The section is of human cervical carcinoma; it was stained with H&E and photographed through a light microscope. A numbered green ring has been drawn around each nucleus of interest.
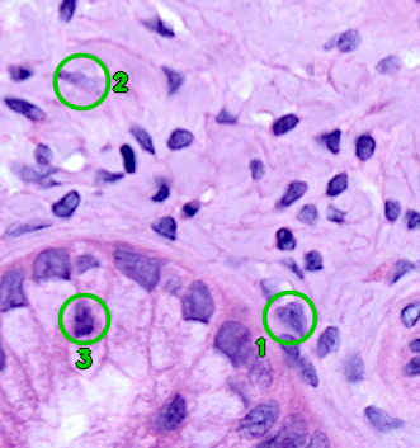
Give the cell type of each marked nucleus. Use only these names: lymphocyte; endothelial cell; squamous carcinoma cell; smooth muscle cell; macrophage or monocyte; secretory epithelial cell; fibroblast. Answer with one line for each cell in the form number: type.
1: fibroblast
2: fibroblast
3: secretory epithelial cell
